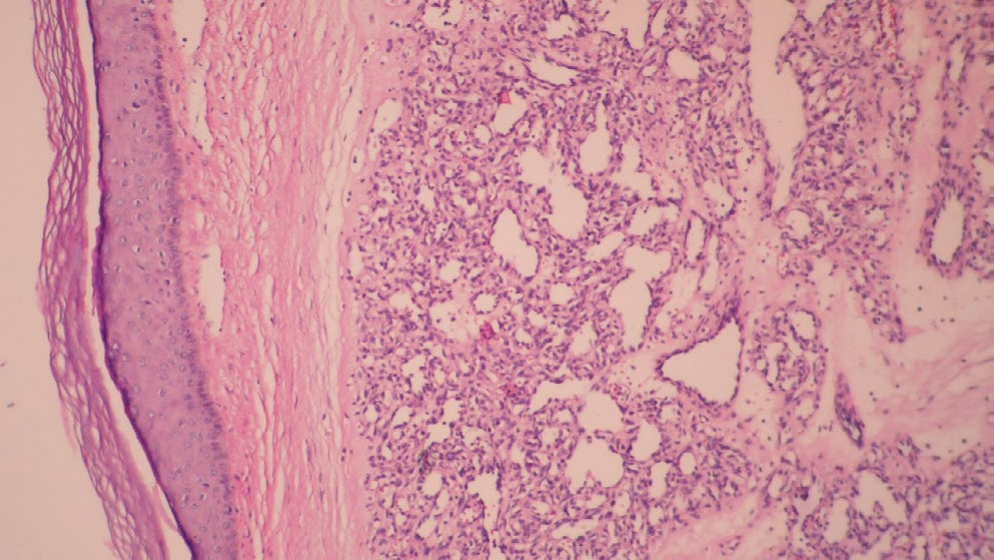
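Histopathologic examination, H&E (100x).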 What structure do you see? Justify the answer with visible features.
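Small capillaries with variable luminal diameters. Many open, empty channels sit packed together in the middle and right of the field. The channels range from slit-like to wide, irregular spaces. The channels are lined by a thin layer of flattened cells with dark nuclei.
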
